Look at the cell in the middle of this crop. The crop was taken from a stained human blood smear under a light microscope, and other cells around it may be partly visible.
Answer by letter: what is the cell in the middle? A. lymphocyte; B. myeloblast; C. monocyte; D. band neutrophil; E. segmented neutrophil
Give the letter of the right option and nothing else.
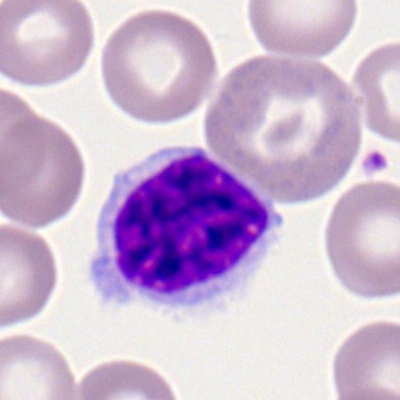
A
